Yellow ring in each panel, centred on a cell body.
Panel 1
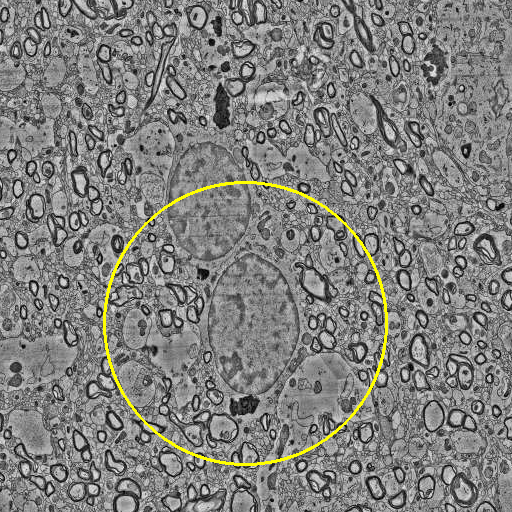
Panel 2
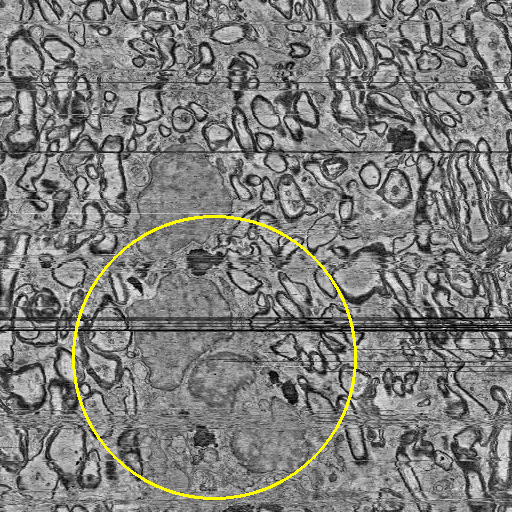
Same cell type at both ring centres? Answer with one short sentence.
Yes, both cells are of the same type.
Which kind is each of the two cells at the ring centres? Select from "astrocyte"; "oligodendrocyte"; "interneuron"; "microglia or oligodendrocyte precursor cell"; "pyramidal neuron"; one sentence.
Both the first and the second picture show an oligodendrocyte in the ring.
